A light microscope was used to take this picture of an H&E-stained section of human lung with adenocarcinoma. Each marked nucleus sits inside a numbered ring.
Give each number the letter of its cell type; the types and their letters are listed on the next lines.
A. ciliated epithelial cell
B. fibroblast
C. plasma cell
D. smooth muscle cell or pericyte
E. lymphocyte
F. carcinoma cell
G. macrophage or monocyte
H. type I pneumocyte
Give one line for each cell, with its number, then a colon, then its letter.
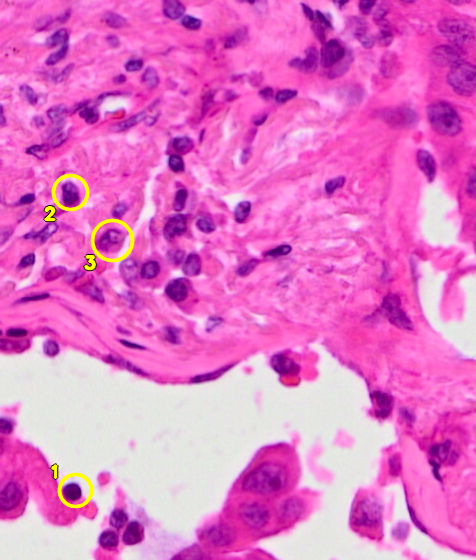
1: E
2: C
3: C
